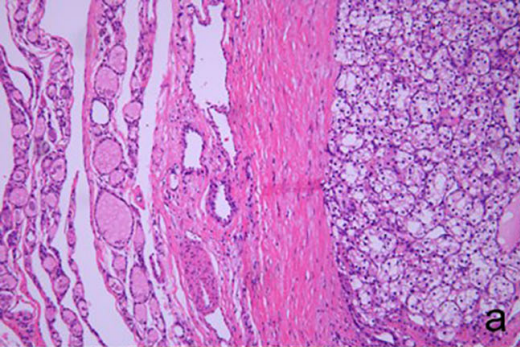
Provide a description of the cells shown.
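At the left lie thyroid follicles lined by flat cells and filled with pink colloid, and a thick band of pink fibrous tissue separates them from the tumor tissue at the right. The tumor cells have pale, clear cytoplasm and dark, round nuclei, and they are arranged in nested clusters divided by thin strands and vessels.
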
